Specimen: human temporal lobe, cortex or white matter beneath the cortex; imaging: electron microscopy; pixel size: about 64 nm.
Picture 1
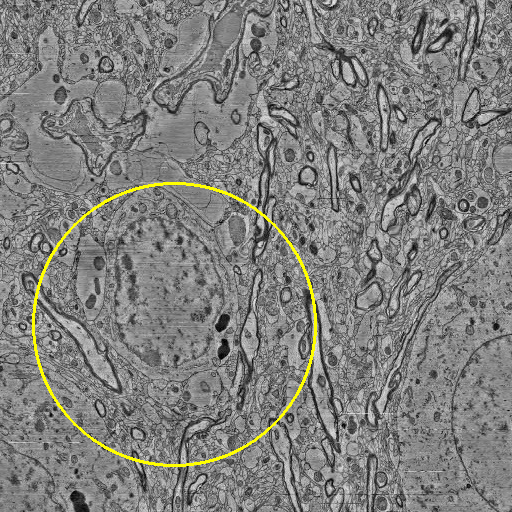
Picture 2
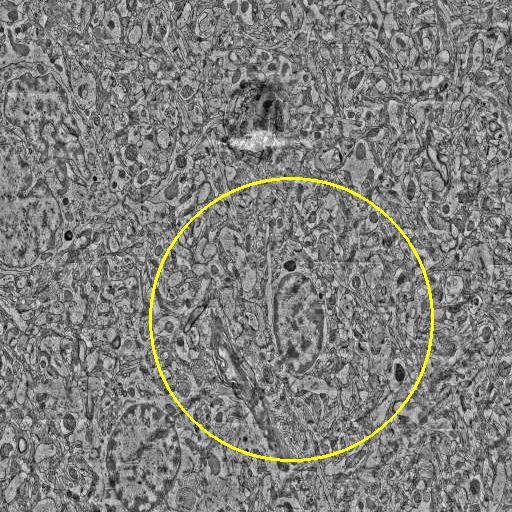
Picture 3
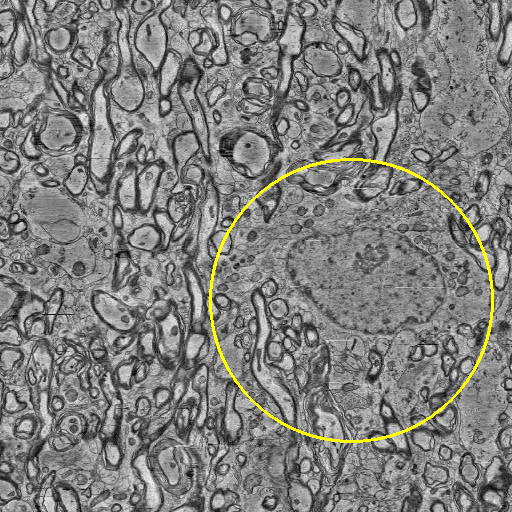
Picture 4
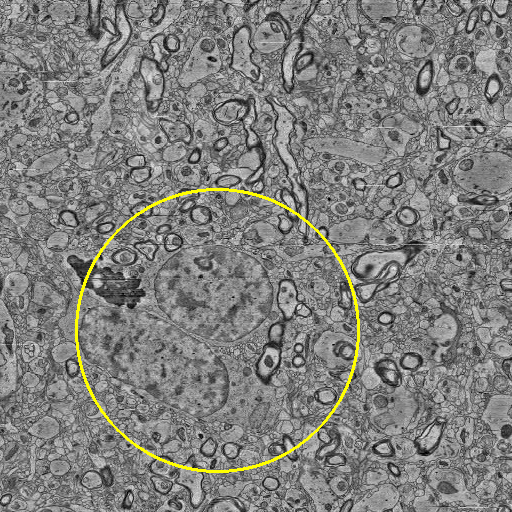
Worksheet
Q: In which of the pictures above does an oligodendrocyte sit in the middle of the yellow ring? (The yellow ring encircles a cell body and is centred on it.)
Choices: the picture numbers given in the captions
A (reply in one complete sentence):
In picture 4, the cell sitting at the centre of the ring is the match.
